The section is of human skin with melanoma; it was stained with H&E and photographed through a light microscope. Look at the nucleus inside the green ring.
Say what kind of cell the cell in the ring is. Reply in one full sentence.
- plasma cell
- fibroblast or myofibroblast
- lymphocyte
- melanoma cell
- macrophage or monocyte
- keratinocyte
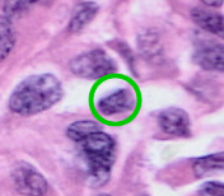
Histopathologically, the cell in the ring is a melanoma cell.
